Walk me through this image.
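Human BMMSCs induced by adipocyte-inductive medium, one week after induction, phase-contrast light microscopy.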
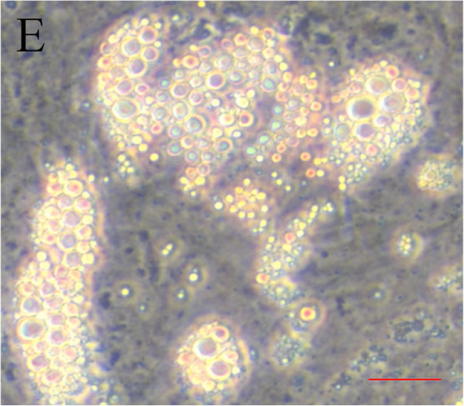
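The droplets are round, strongly refractile and glow with bright, yellowish rims; they crowd together in large clusters, each cluster presumably filling the cytoplasm of one or a few cells. Droplet sizes range from tiny specks to larger spheres packed side by side. Between the clusters lies a greyish, flattened layer of cells without droplets, whose outlines are hard to make out. Scattered small droplets also sit apart from the main clusters.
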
